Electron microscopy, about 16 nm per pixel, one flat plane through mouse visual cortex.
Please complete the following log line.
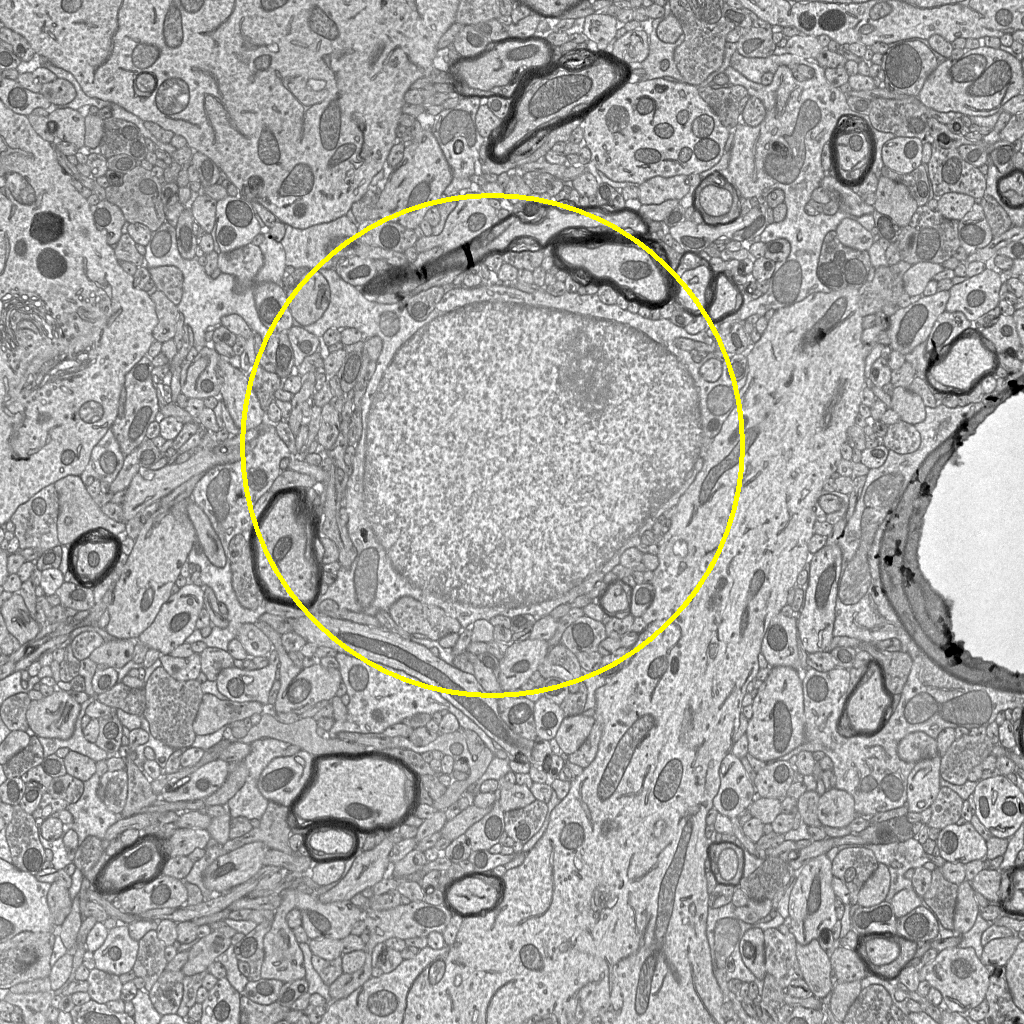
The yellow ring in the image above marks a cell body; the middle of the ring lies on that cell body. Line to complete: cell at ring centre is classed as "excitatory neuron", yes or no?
no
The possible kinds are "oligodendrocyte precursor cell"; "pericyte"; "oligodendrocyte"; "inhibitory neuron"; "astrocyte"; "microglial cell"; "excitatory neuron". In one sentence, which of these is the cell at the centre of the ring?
The cell at the middle of the ring is an astrocyte.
